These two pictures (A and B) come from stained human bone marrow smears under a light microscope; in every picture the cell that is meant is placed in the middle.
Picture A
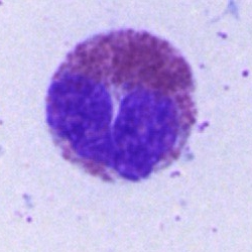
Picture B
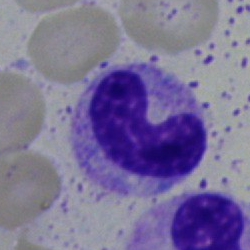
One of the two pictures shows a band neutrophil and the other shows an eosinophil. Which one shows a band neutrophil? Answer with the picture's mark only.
B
